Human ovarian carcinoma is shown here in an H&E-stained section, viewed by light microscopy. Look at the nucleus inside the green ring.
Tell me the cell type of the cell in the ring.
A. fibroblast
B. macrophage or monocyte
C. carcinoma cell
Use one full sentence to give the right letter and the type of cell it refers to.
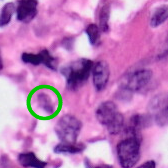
That the cell in the ring is a macrophage or monocyte makes option B the correct choice.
